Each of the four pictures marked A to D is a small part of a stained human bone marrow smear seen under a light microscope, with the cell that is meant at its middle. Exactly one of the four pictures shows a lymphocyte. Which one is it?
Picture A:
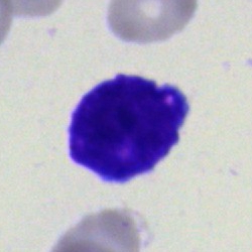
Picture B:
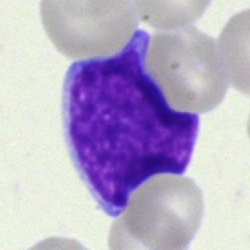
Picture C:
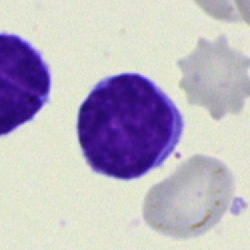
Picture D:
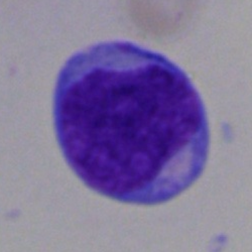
C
